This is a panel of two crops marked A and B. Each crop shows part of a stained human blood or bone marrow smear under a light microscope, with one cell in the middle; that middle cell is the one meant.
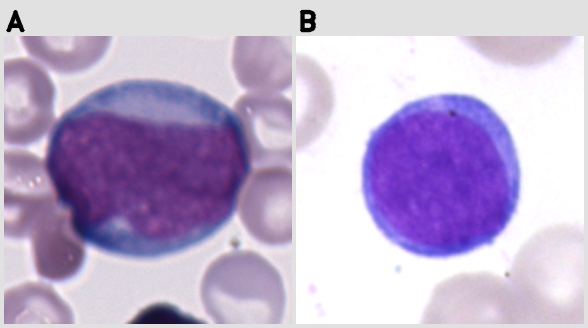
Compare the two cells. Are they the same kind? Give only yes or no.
yes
